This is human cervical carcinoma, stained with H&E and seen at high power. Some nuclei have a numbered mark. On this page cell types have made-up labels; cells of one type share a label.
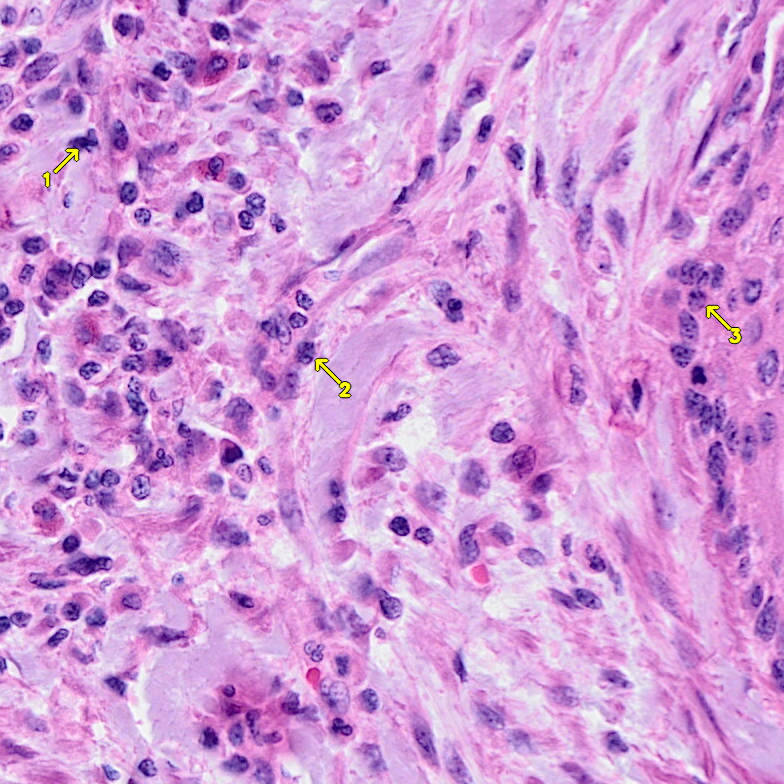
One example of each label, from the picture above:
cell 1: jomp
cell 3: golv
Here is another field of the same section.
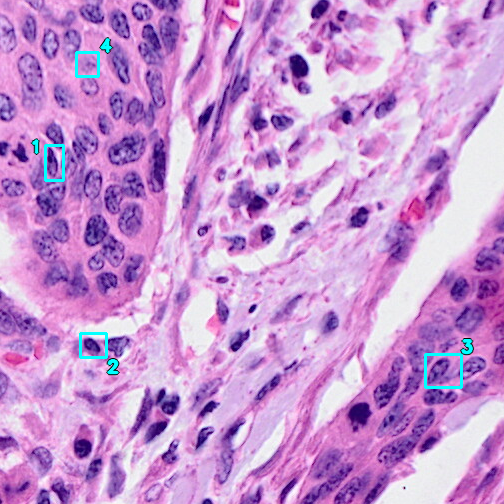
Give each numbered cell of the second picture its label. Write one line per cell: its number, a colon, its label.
1: golv
2: jomp
3: golv
4: golv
